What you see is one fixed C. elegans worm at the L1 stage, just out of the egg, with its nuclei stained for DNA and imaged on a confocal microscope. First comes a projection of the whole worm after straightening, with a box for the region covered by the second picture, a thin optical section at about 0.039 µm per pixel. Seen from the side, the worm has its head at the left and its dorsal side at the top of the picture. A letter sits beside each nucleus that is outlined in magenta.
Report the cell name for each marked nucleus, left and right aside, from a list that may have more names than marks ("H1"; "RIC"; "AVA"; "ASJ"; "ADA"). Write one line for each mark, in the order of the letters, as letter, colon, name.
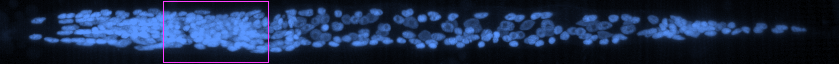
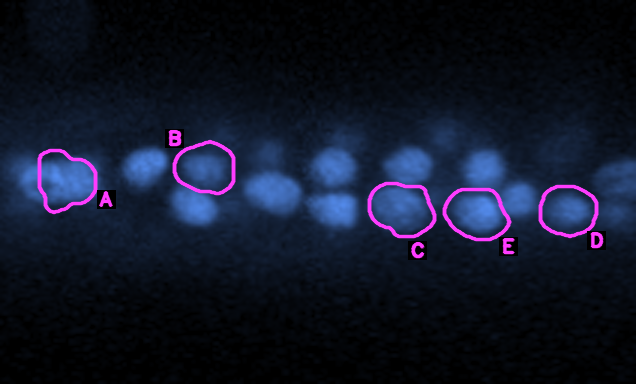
A: H1
B: AVA
C: ASJ
D: ADA
E: RIC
